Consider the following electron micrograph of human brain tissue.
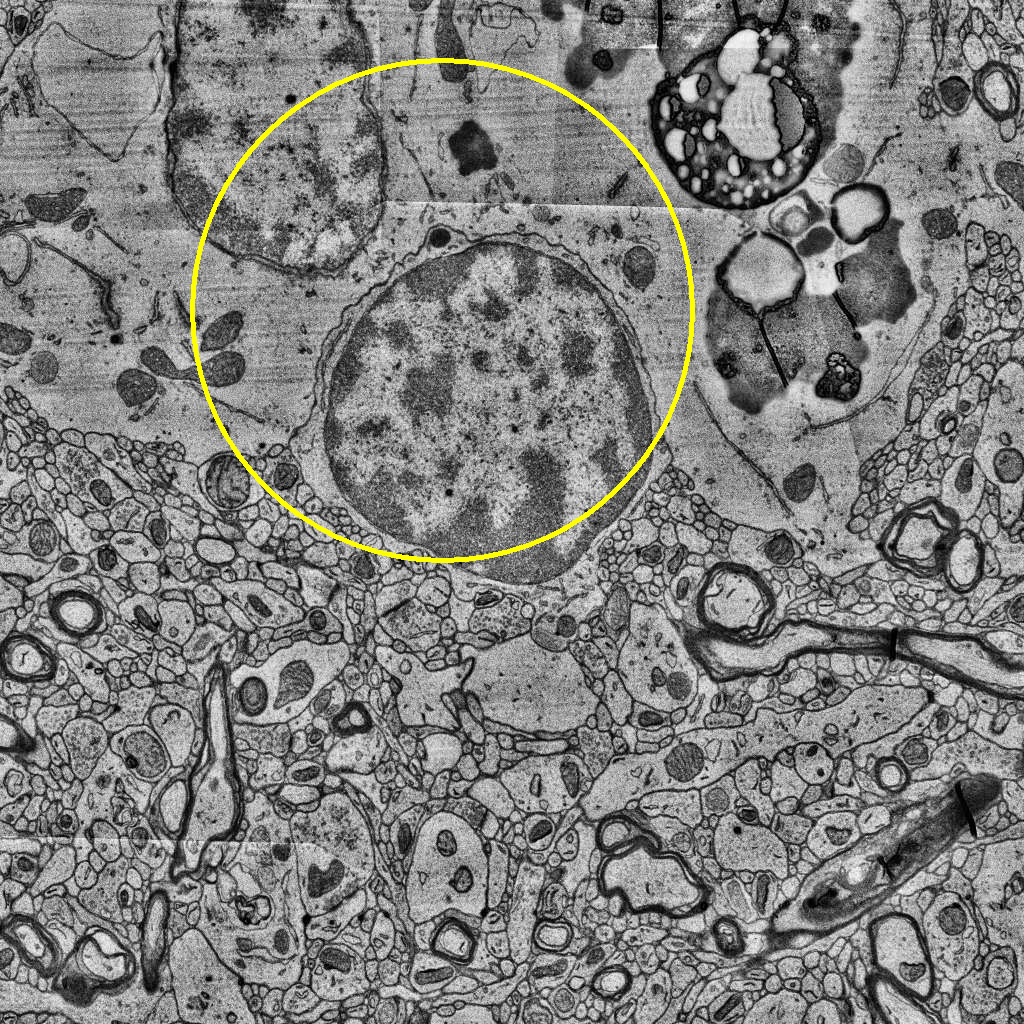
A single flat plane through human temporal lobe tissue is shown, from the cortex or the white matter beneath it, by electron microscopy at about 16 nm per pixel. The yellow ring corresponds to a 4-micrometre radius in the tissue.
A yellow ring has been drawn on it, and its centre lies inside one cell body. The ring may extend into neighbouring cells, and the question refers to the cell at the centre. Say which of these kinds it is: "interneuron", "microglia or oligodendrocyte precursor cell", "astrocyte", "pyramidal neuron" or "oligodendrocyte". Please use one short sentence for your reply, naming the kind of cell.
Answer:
The centre of the ring falls on a microglial cell or oligodendrocyte precursor cell.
